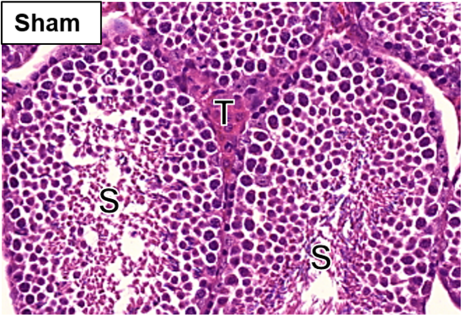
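Transverse section of testis showing seminiferous tubules packed with germ cells. The tubules lie close together and are filled by many layers of small round cells with dark purple nuclei. Between the tubules a small triangular interstitial space holds pink-staining cells. The epithelium fills nearly the whole tubule, leaving little open lumen.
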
